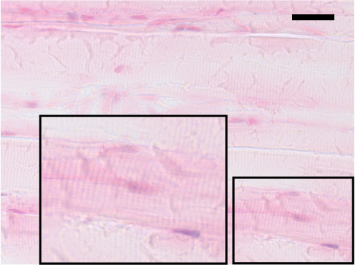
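Within the fibres, fine regular cross-striations can be made out, seen most clearly in the two boxed areas. Elongated, flattened nuclei lie along the margins of the fibres rather than in their centres, as is typical of skeletal muscle fibres. Several of these nuclei carry a bluish tint, against the pink of the surrounding cytoplasm. Thin pale gaps separate neighbouring fibres, marking the connective tissue between them.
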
